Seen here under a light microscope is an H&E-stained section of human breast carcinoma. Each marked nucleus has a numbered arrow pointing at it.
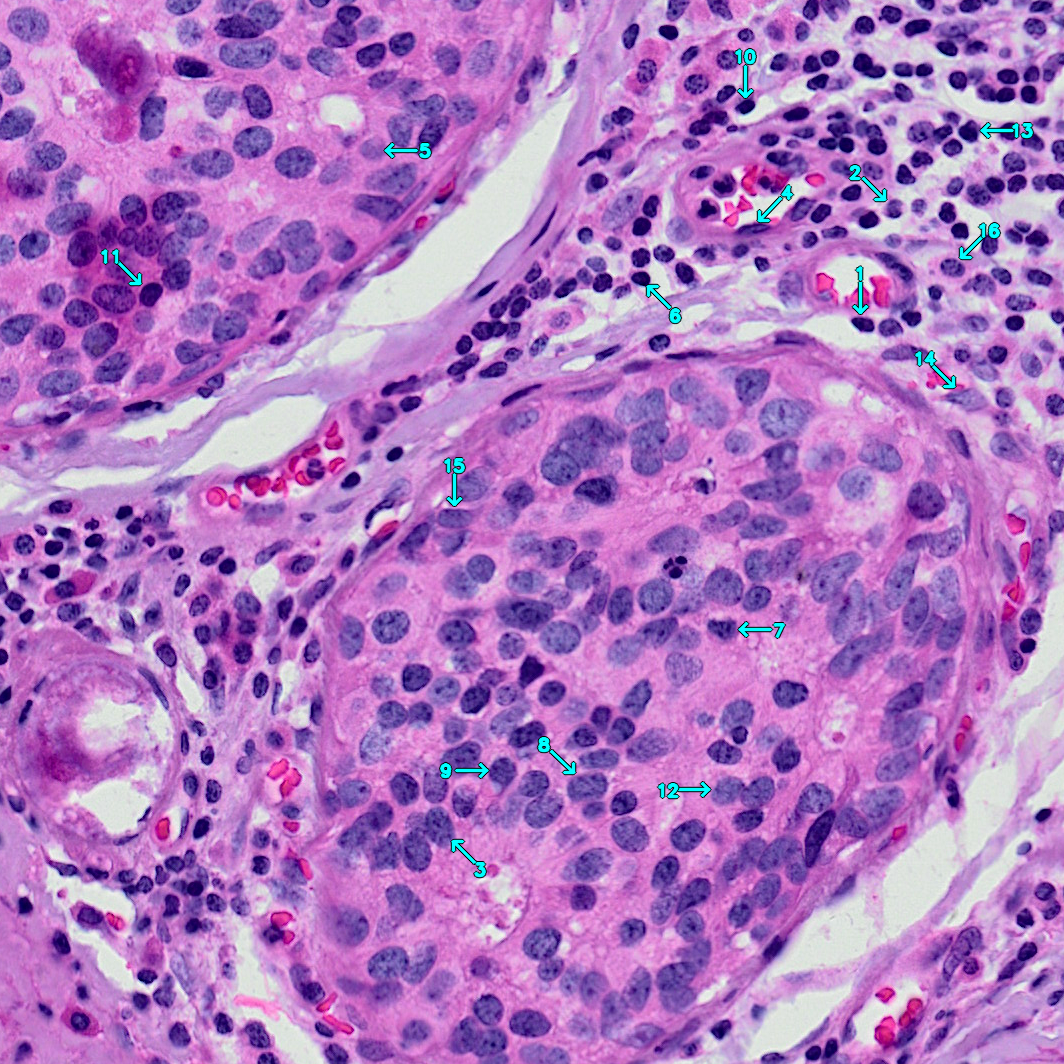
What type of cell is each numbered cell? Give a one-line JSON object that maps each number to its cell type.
{"1": "lymphocyte", "2": "lymphocyte", "3": "carcinoma cell", "4": "endothelial cell", "5": "carcinoma cell", "6": "lymphocyte", "7": "carcinoma cell", "8": "carcinoma cell", "9": "carcinoma cell", "10": "lymphocyte", "11": "carcinoma cell", "12": "carcinoma cell", "13": "lymphocyte", "14": "endothelial cell", "15": "carcinoma cell", "16": "mast cell"}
